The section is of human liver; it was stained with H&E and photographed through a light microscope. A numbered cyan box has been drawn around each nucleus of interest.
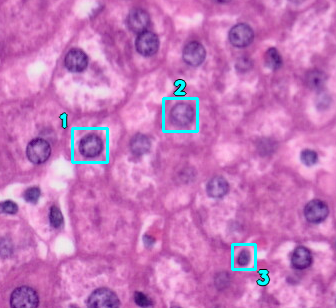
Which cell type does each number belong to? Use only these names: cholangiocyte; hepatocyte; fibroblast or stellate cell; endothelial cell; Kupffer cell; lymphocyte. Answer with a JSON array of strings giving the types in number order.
["hepatocyte", "hepatocyte", "lymphocyte"]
